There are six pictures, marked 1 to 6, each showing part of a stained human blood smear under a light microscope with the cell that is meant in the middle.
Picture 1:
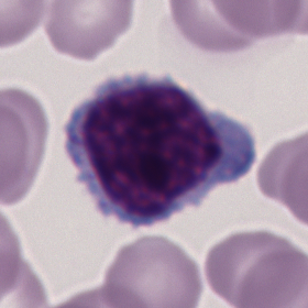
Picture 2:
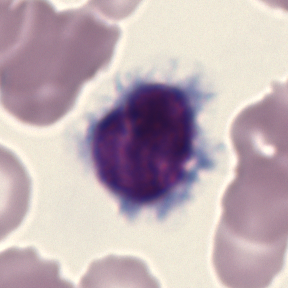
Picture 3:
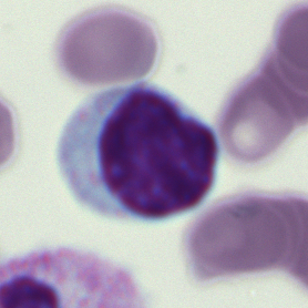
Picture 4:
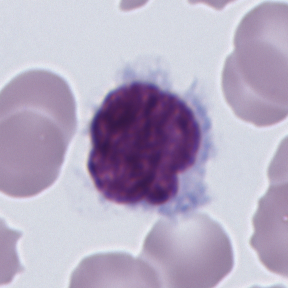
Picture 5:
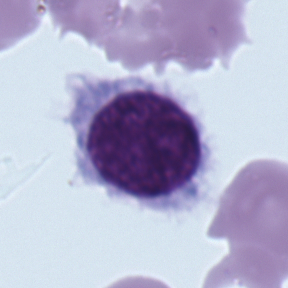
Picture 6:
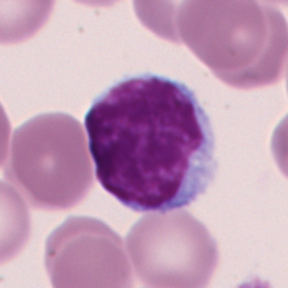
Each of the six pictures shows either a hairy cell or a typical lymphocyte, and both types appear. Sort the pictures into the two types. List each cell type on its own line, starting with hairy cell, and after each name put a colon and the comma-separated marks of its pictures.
hairy cell: 2, 4, 5
typical lymphocyte: 1, 3, 6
